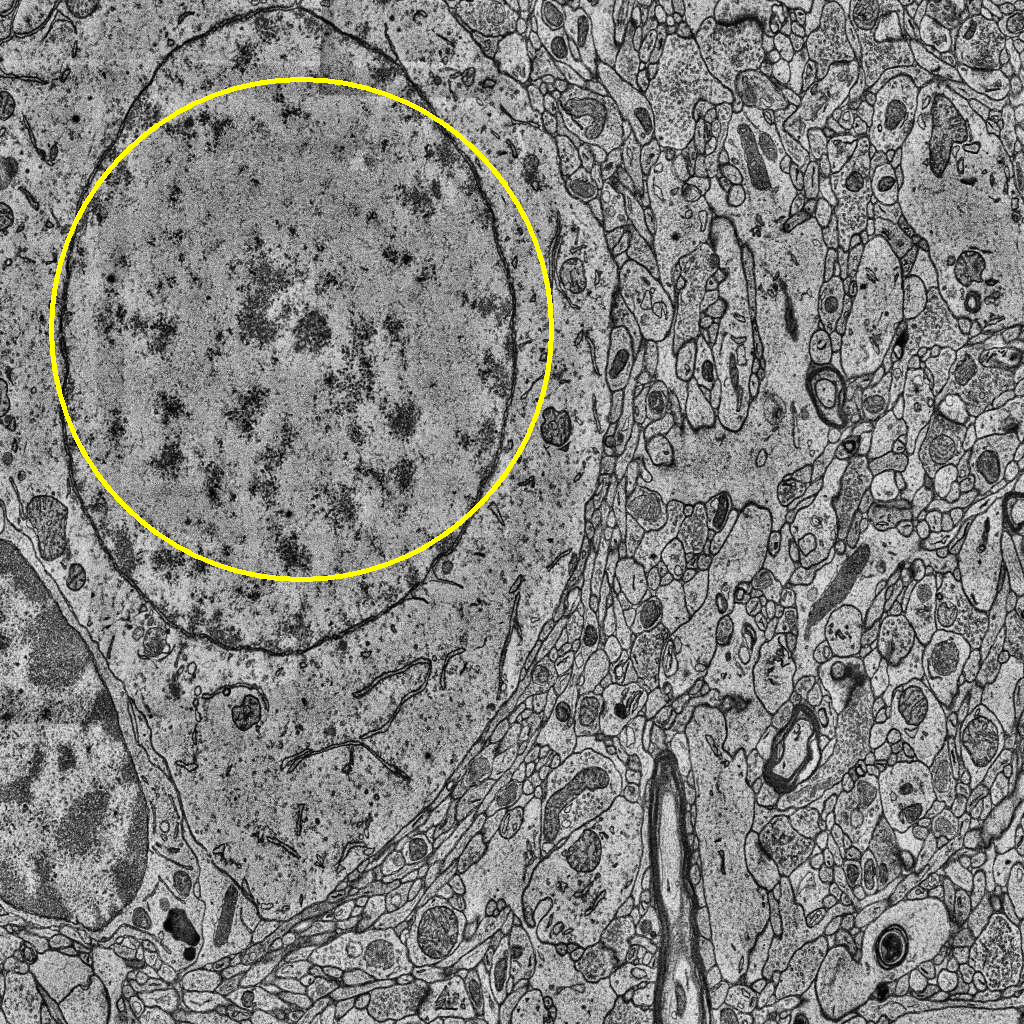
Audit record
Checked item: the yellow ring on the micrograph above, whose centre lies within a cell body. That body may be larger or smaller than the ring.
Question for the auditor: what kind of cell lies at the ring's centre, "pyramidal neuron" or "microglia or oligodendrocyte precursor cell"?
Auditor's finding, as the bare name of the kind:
pyramidal neuron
